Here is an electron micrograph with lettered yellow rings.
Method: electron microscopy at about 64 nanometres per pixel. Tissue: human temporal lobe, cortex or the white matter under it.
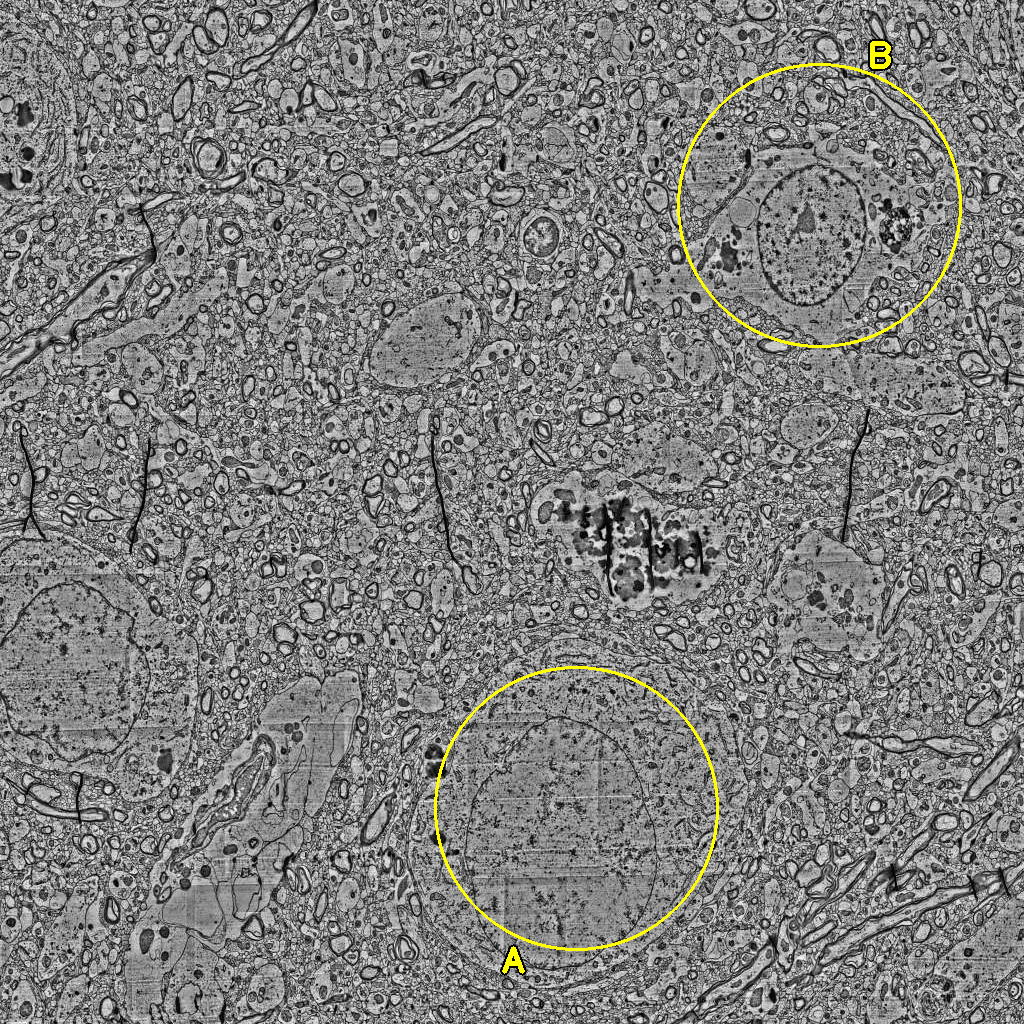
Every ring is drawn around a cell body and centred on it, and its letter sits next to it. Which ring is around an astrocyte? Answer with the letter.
B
